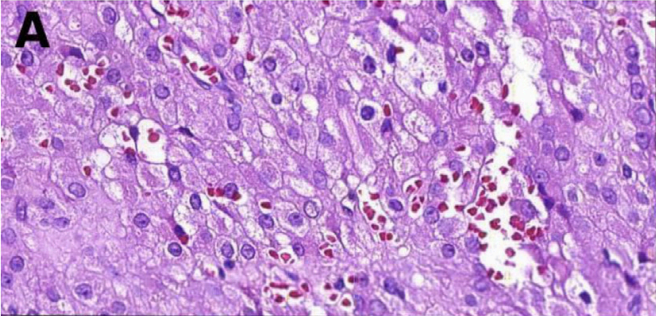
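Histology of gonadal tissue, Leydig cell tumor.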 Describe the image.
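The cells are large and polygonal, with abundant pink, finely granular to bubbly cytoplasm and round nuclei that often show a distinct nucleolus. They are packed in solid sheets, and thin-walled capillaries full of red blood cells run between them.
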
